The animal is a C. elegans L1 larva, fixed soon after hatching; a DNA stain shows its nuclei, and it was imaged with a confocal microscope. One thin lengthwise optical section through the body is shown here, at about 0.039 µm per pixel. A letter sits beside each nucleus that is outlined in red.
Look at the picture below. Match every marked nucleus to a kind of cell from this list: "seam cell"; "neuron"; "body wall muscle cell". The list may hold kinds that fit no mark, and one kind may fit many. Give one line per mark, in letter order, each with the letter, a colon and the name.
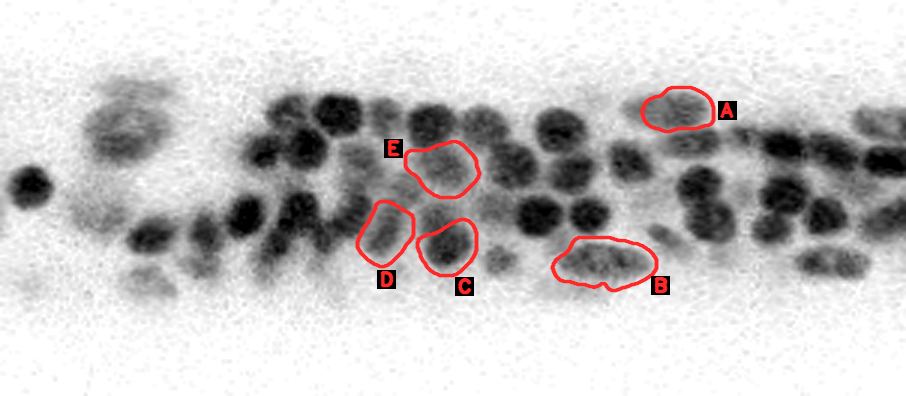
A: body wall muscle cell
B: body wall muscle cell
C: neuron
D: neuron
E: neuron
